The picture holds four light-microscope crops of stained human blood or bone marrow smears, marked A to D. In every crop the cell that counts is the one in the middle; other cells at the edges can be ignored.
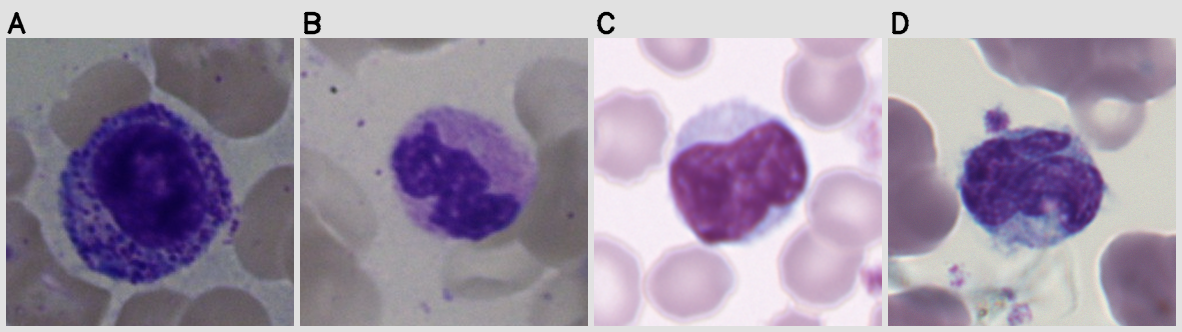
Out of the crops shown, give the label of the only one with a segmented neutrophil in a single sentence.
Among the crops given, only crop B shows a segmented neutrophil.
